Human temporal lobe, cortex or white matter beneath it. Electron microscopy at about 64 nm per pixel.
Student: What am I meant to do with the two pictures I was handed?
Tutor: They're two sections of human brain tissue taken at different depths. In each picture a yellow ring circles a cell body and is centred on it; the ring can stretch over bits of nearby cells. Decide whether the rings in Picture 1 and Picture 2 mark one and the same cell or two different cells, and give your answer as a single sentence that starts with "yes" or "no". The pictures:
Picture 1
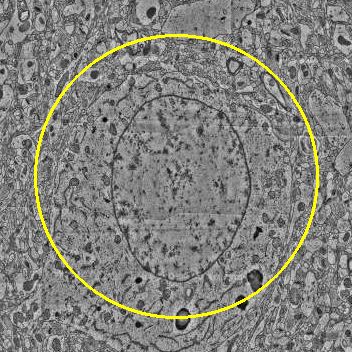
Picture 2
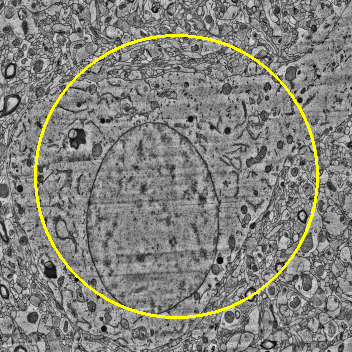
No, the two circled cells are distinct from one another.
